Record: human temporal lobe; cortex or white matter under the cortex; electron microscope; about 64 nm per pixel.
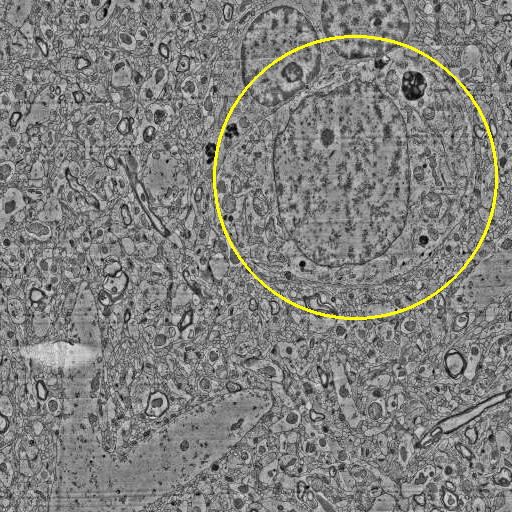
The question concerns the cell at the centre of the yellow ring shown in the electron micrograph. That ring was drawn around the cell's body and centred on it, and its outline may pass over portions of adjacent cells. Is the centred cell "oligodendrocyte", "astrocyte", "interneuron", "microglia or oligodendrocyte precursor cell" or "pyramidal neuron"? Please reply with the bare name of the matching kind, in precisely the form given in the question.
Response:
interneuron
